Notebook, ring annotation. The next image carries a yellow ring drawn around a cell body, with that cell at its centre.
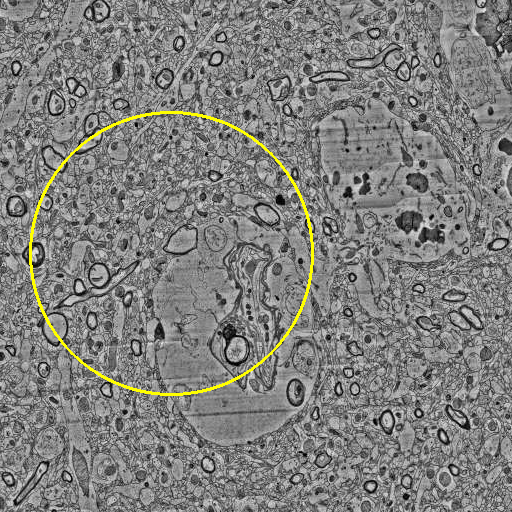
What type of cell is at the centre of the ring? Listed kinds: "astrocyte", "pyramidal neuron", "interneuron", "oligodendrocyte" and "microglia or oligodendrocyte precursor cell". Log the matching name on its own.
oligodendrocyte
